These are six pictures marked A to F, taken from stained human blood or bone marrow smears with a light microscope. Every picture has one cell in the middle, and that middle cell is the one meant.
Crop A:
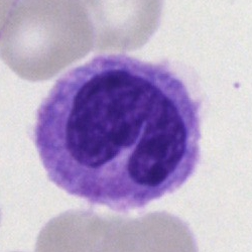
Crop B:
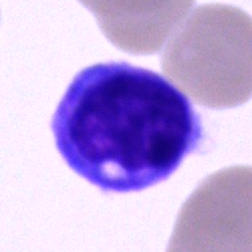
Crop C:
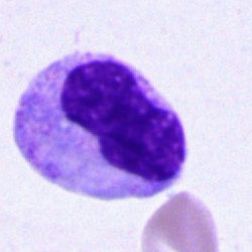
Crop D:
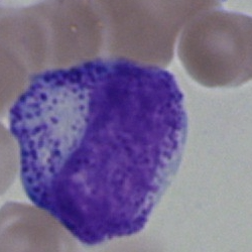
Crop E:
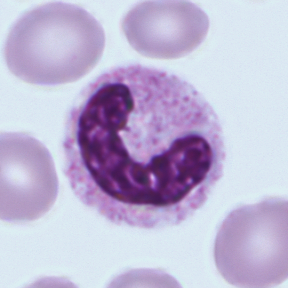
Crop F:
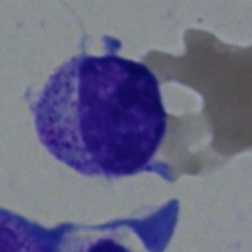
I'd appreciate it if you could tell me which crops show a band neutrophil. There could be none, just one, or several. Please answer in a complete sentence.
Crop E and no other crop shows a band neutrophil.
